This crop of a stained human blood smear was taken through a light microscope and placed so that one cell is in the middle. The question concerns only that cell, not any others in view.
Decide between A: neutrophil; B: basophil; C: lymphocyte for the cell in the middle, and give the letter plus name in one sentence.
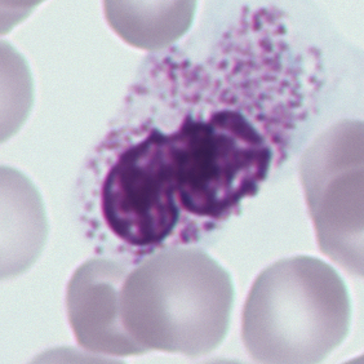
Here the central cell is a neutrophil, and option A is correct.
